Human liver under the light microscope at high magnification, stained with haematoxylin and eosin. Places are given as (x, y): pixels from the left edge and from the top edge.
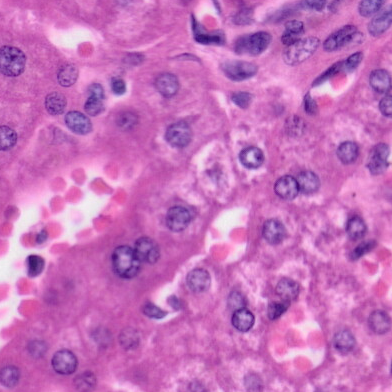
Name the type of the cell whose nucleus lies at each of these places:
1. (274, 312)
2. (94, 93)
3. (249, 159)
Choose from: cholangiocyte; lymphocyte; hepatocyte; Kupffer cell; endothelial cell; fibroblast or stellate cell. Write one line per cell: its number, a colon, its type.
1: fibroblast or stellate cell
2: cholangiocyte
3: hepatocyte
